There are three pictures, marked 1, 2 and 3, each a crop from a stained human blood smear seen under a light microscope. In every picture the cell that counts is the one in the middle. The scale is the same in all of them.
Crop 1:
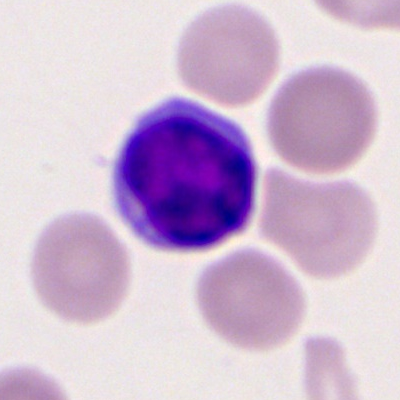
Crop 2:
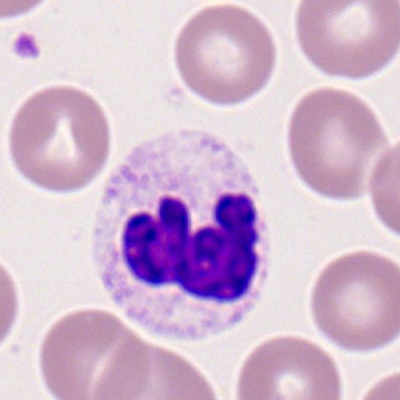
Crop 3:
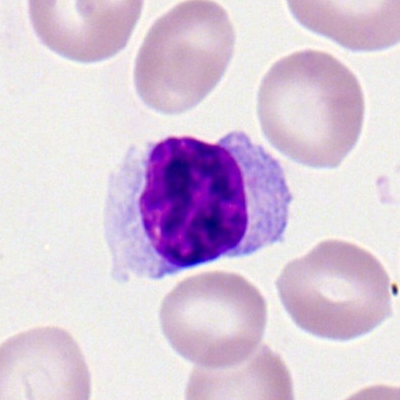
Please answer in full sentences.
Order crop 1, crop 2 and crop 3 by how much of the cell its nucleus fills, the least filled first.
They run 2, 3, 1, the least filled first.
